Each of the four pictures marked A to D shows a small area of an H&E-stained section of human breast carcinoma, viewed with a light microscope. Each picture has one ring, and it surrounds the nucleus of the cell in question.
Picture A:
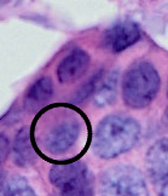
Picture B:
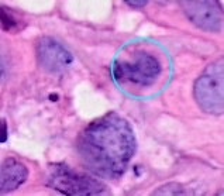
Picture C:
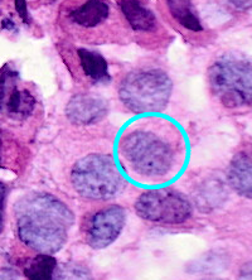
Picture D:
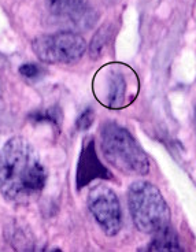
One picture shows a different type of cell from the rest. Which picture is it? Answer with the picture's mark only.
D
